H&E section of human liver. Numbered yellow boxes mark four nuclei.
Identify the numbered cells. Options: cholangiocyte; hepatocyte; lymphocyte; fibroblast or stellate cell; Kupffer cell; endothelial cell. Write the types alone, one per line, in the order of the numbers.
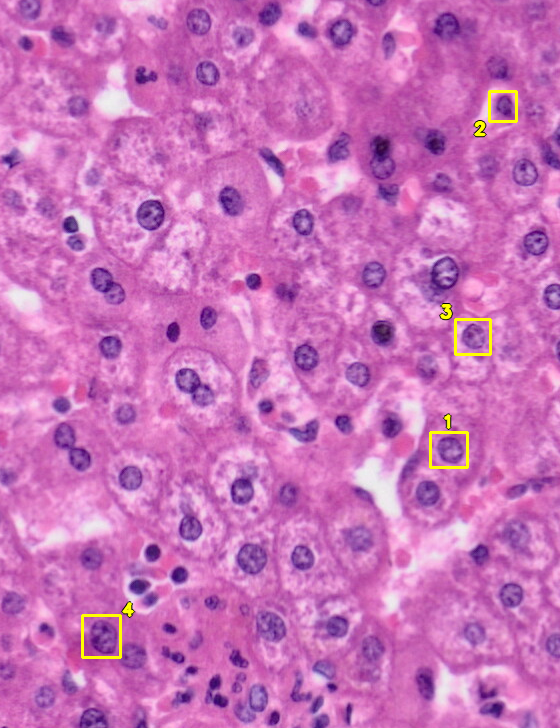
hepatocyte
Kupffer cell
hepatocyte
hepatocyte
